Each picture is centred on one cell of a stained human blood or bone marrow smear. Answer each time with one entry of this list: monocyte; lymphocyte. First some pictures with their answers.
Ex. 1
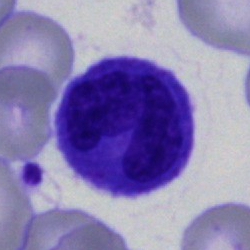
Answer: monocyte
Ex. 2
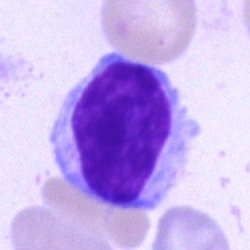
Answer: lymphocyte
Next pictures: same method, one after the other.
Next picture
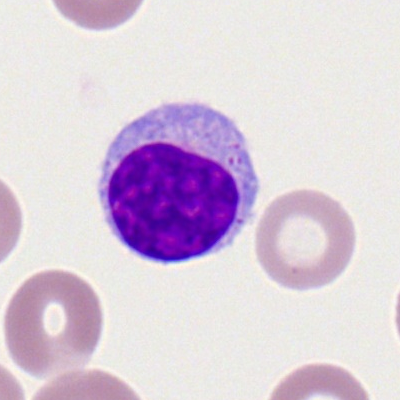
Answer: lymphocyte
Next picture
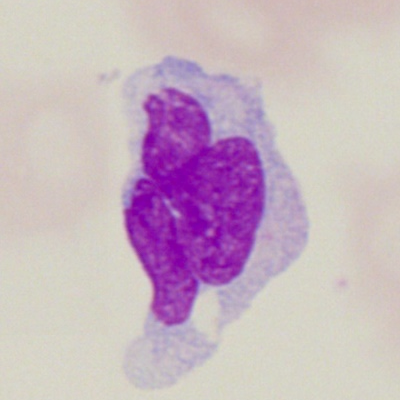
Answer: monocyte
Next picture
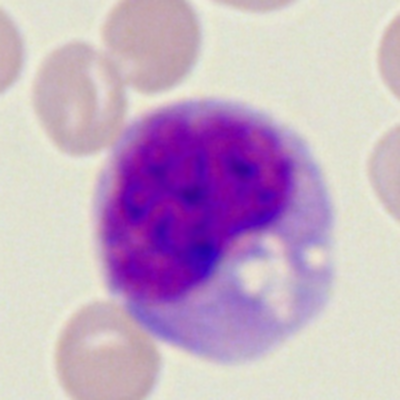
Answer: monocyte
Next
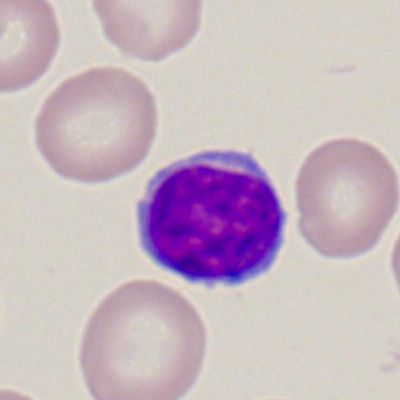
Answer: lymphocyte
